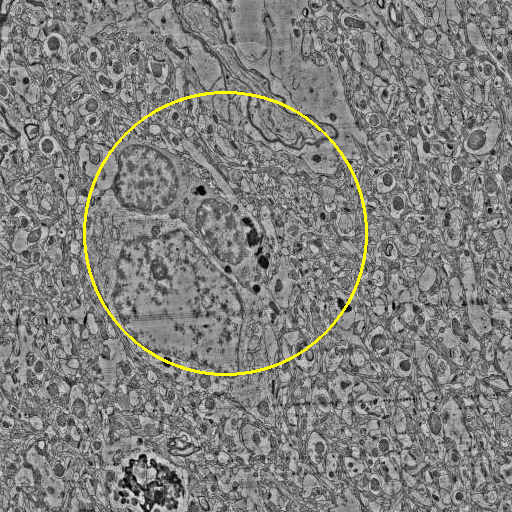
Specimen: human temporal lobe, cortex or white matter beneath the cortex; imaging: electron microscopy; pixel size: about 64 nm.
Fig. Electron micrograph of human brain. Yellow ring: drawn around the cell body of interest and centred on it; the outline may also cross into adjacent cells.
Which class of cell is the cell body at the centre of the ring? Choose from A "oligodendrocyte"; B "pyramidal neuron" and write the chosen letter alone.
A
